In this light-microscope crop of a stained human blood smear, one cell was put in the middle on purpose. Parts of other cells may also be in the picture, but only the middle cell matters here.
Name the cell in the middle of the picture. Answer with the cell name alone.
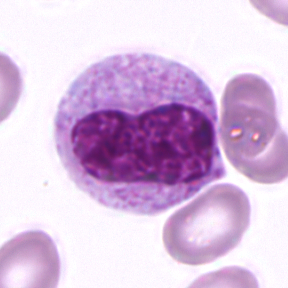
metamyelocyte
